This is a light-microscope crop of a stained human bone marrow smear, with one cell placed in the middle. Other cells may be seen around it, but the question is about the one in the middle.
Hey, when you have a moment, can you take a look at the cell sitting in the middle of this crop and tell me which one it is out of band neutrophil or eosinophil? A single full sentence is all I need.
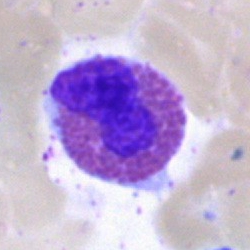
This crop is built around an eosinophil at its centre.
